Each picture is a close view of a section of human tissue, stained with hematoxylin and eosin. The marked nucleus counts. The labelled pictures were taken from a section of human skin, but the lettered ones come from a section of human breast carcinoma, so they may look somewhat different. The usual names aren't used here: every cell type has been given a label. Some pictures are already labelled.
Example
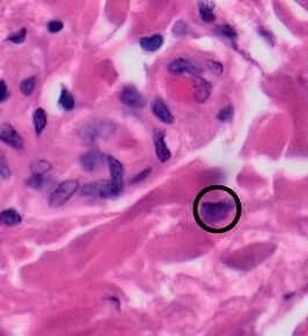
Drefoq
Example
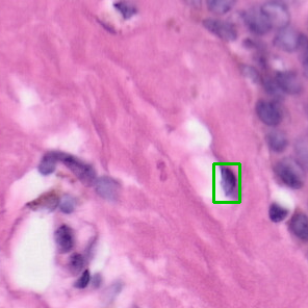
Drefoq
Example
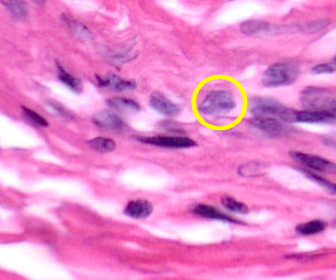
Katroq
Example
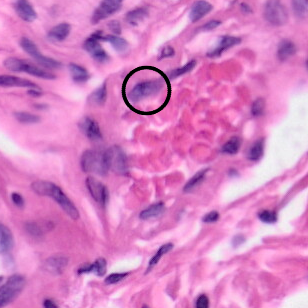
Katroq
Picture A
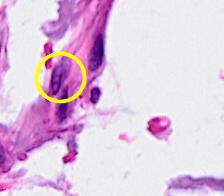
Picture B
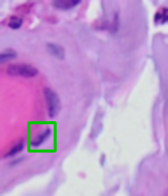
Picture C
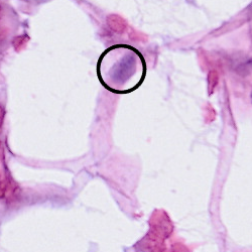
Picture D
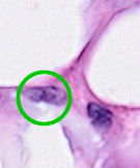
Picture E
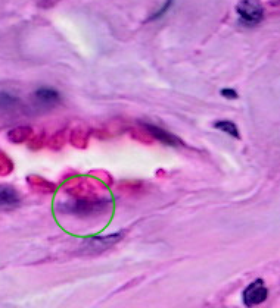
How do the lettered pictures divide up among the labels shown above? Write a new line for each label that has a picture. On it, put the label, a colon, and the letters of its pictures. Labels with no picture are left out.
Drefoq: B, D
Katroq: A, C, E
